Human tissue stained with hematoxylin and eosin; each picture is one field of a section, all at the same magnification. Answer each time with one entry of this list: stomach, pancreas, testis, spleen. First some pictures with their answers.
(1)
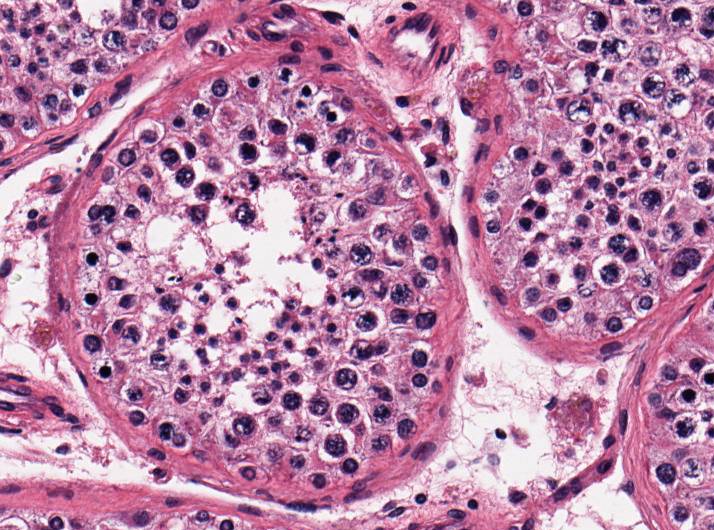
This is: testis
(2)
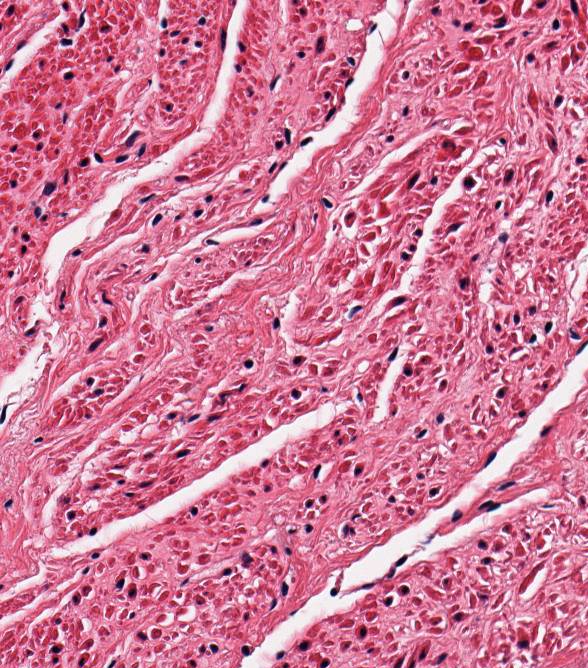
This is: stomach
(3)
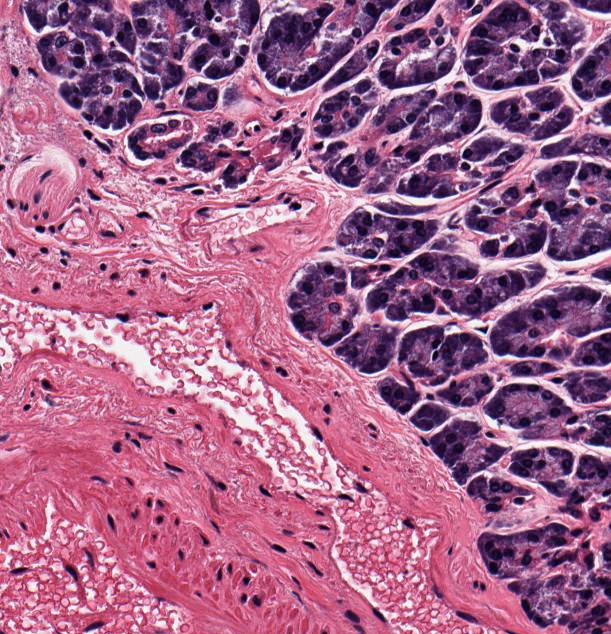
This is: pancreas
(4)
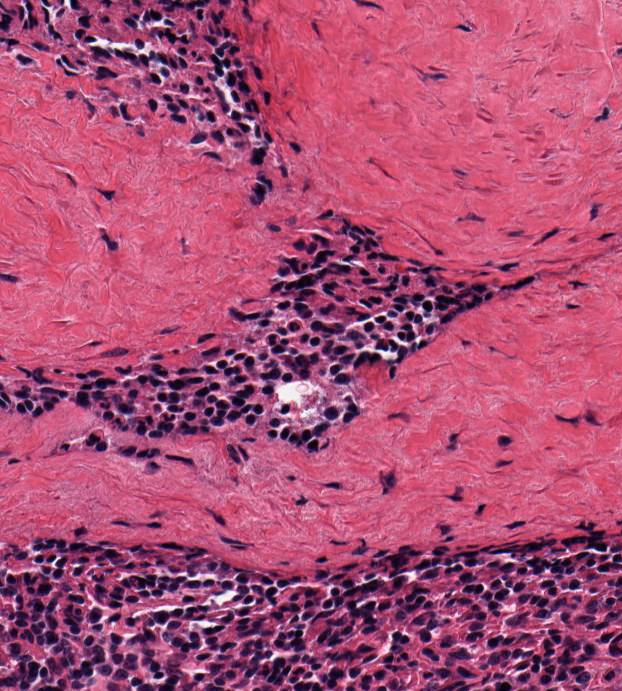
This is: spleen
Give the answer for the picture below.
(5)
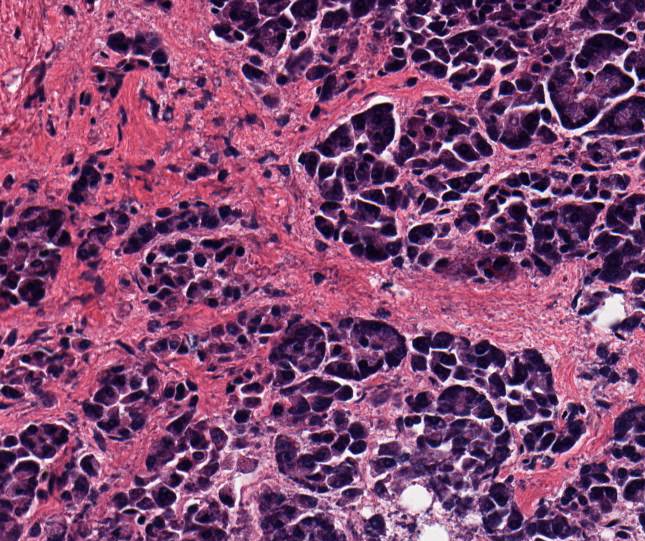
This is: pancreas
